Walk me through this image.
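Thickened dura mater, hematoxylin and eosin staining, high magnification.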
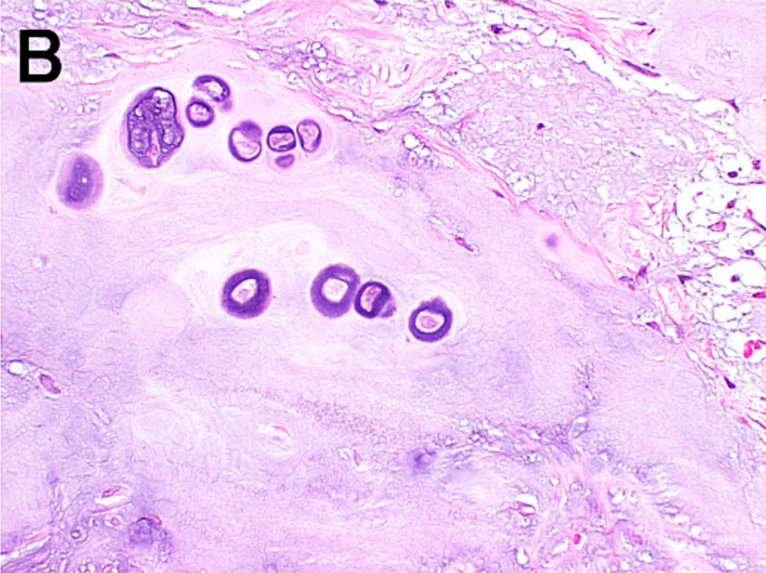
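Within a pale, glassy, lilac-pink matrix lie small clusters of round cells, each sitting in a clear space with a dark purple rim, and one larger space holds several crowded cells together. At the upper right the matrix gives way to loose pink fibrous tissue with a few spindle-shaped nuclei. These are clustered, hyperplastic chondrocytes lying in their lacunae within cartilage matrix.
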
